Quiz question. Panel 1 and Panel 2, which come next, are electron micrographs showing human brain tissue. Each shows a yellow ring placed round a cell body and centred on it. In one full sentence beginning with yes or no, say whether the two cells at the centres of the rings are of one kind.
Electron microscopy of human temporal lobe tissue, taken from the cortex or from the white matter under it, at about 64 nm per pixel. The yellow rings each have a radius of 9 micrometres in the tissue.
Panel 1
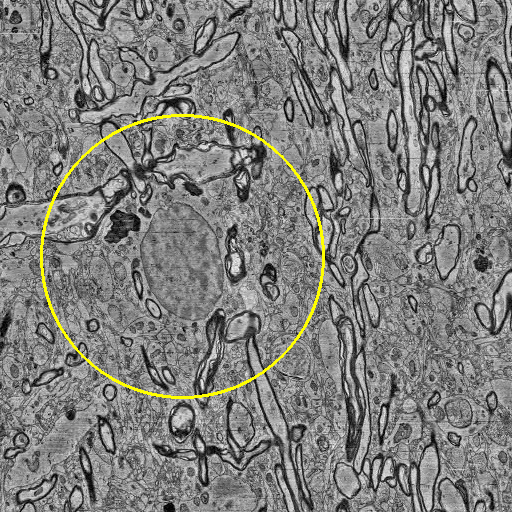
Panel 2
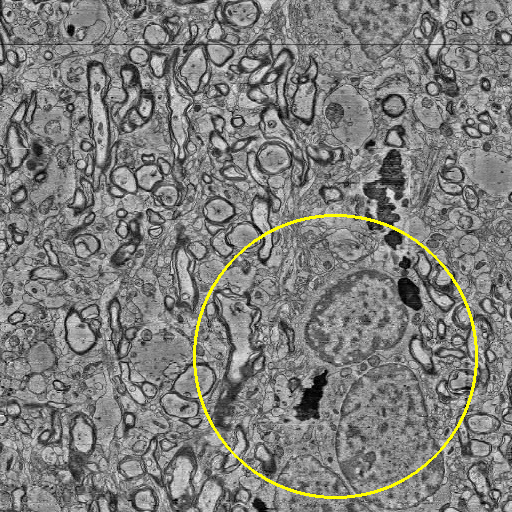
Yes, Panel 1 and Panel 2 show one kind of cell at the centre of the ring.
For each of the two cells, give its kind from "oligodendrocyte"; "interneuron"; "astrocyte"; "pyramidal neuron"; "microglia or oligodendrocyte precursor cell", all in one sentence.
In the first picture and in the second, the ring is centred on an oligodendrocyte.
